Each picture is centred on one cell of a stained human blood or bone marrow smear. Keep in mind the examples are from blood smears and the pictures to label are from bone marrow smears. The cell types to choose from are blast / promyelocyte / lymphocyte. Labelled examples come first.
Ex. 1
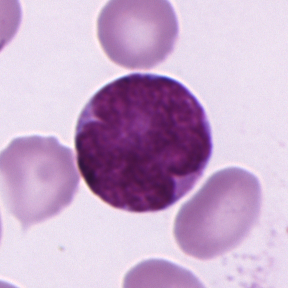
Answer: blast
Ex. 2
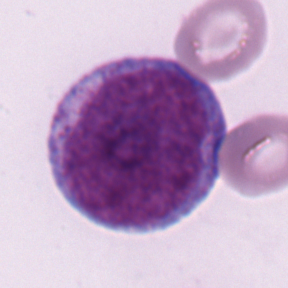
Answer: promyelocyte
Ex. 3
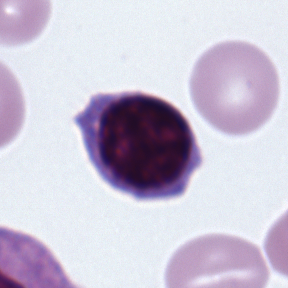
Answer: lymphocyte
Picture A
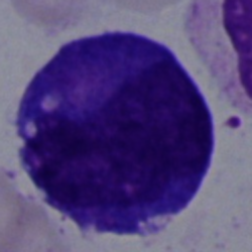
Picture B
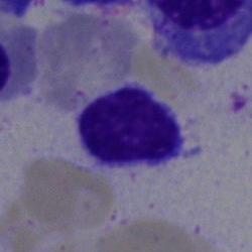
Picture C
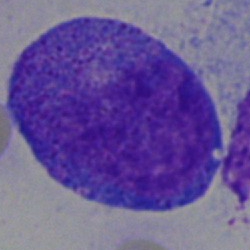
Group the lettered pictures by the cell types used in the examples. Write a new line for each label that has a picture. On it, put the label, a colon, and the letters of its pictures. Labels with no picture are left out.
blast: A
promyelocyte: C
lymphocyte: B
